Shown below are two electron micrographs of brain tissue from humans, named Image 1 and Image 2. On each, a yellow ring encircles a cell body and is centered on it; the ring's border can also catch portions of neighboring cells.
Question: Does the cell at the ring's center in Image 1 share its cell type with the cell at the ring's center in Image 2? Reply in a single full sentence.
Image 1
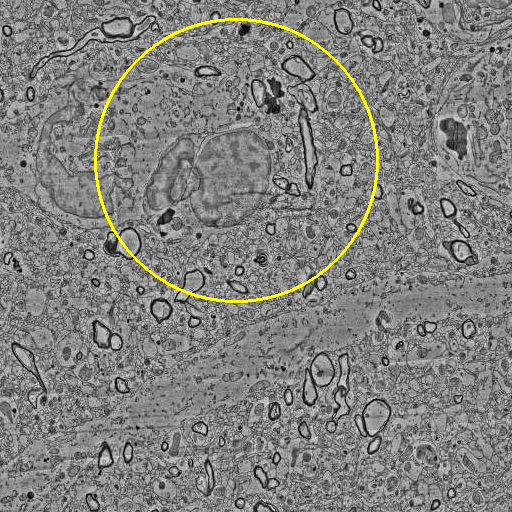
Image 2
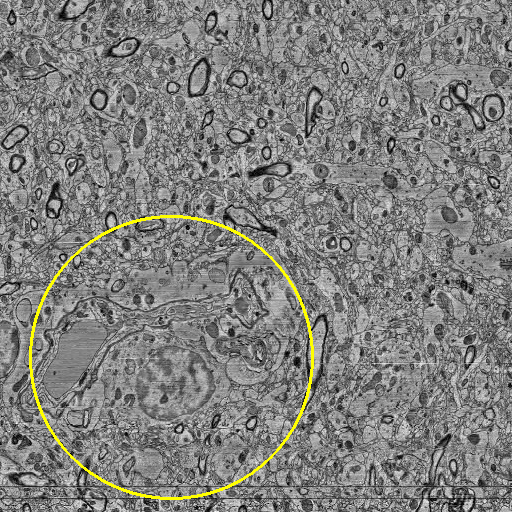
Yes, the two cells at the ring centers, in Image 1 and Image 2, share one cell type.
